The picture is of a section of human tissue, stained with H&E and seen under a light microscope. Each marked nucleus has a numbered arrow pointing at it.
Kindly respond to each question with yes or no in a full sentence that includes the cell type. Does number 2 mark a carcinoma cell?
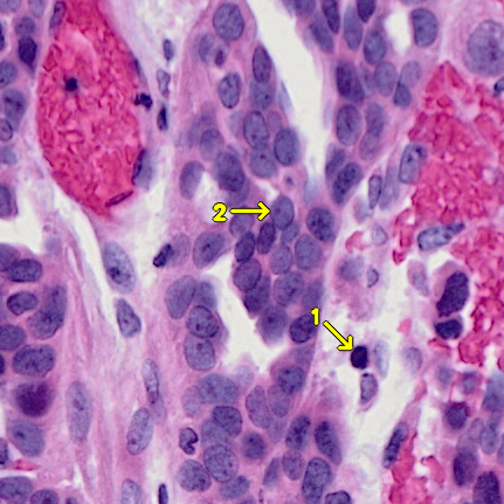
Yes, with respect to number 2, the cell is a carcinoma cell.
